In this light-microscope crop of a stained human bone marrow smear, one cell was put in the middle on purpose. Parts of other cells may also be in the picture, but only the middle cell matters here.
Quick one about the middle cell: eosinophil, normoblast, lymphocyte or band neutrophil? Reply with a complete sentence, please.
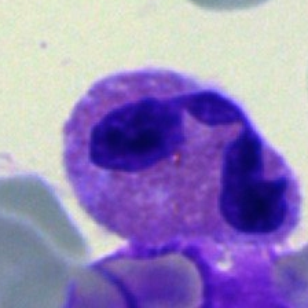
For this crop, the central cell is an eosinophil.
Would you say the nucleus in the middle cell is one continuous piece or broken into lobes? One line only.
The nuclear outline breaks up into two or more lobes.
